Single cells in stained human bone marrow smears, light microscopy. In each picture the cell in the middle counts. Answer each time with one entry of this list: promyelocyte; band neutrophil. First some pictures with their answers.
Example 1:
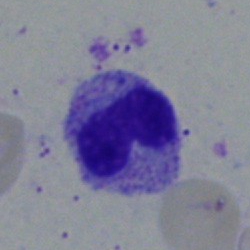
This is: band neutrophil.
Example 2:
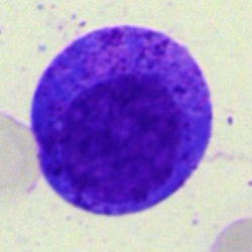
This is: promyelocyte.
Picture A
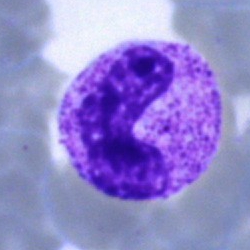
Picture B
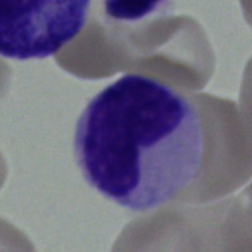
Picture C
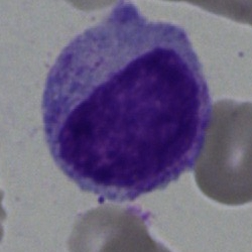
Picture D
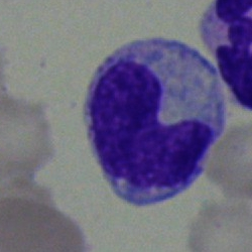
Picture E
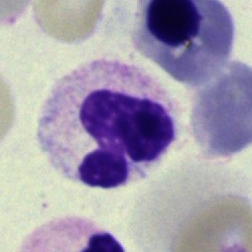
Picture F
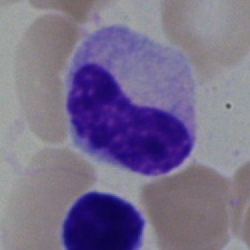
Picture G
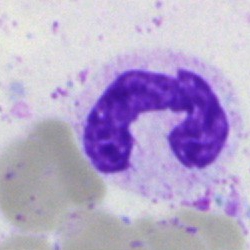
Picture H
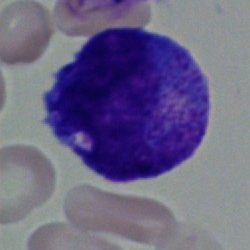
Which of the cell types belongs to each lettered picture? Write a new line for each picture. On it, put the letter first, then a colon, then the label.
A: band neutrophil.
B: band neutrophil.
C: promyelocyte.
D: band neutrophil.
E: band neutrophil.
F: band neutrophil.
G: band neutrophil.
H: promyelocyte.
